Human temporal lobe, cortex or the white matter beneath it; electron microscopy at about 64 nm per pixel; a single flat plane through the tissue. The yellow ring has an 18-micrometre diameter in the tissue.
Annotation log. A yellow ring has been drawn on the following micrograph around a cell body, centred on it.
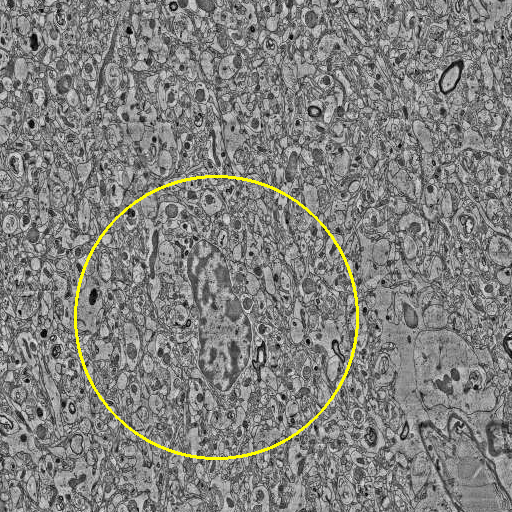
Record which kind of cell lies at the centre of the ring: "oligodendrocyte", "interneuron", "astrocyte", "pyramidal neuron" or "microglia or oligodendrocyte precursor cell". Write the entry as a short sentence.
The cell the ring is centred on is a microglial cell or oligodendrocyte precursor cell.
